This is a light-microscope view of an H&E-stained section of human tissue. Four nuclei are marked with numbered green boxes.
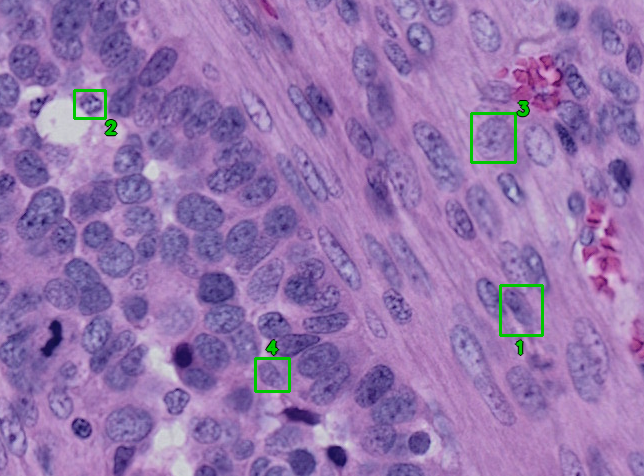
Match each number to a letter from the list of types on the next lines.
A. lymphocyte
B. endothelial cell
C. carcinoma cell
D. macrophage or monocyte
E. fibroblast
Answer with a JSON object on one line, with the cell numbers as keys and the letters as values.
{"1": "B", "2": "D", "3": "E", "4": "C"}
